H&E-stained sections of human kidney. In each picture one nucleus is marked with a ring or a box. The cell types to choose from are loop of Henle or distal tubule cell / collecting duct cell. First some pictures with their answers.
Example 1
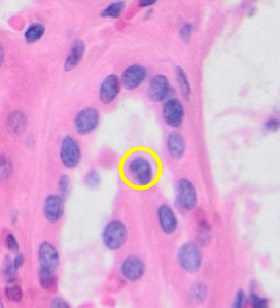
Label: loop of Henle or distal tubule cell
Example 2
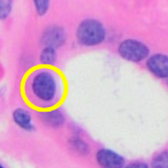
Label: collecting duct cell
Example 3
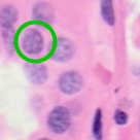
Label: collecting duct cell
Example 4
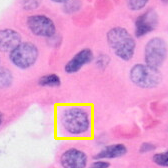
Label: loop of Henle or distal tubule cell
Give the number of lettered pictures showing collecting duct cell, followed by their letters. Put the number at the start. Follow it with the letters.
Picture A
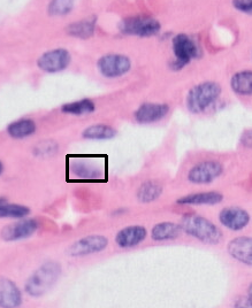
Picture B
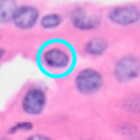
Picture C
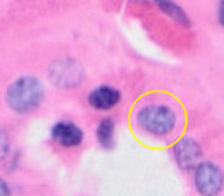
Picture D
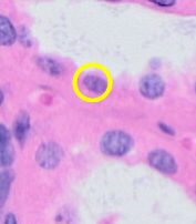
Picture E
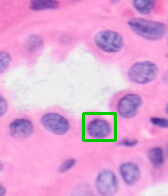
0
